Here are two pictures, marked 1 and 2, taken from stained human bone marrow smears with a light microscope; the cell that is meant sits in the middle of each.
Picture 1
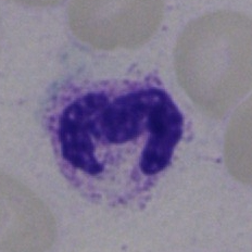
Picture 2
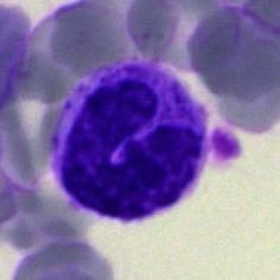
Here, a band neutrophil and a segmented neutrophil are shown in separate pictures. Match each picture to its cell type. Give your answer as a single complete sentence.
Picture 1 shows a segmented neutrophil and picture 2 shows a band neutrophil.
